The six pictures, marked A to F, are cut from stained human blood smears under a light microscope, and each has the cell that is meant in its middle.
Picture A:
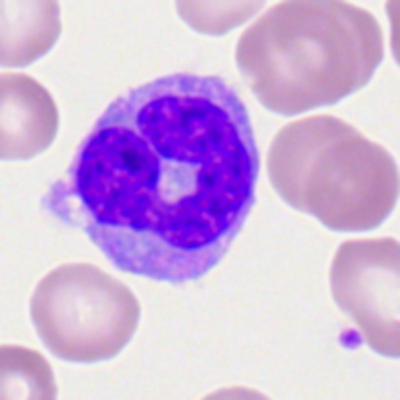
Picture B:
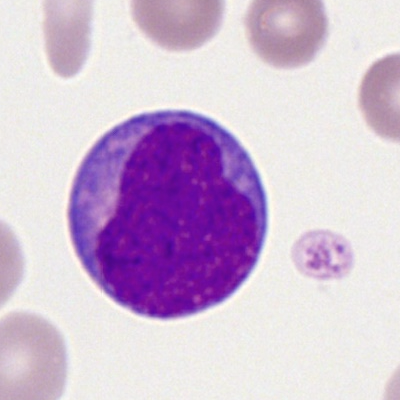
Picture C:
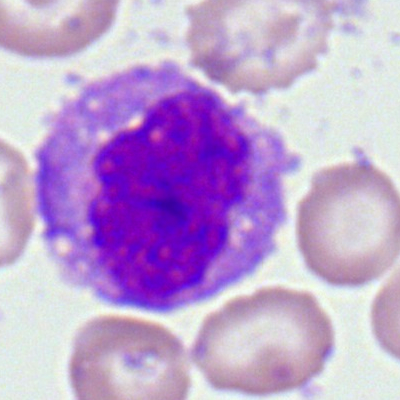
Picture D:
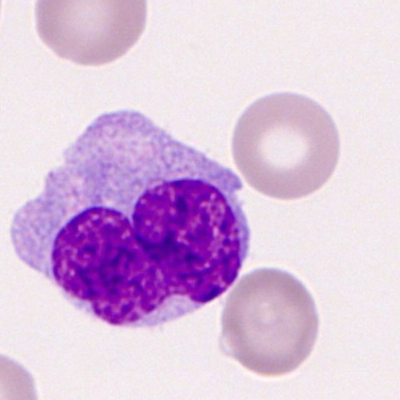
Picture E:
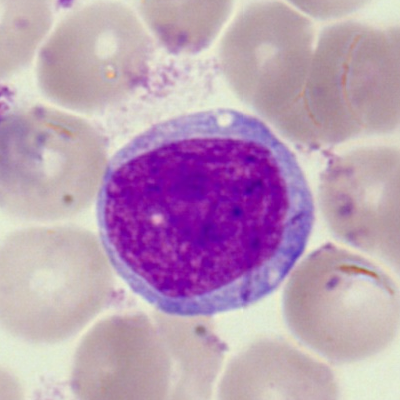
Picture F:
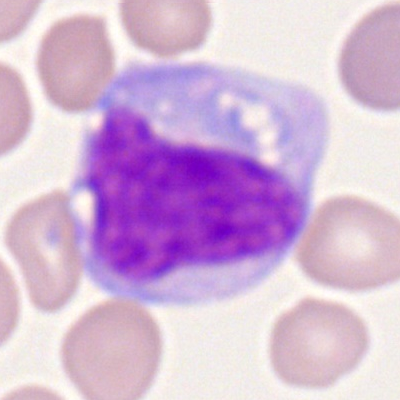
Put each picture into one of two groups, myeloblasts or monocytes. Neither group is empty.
A: monocyte
B: myeloblast
C: monocyte
D: monocyte
E: myeloblast
F: monocyte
